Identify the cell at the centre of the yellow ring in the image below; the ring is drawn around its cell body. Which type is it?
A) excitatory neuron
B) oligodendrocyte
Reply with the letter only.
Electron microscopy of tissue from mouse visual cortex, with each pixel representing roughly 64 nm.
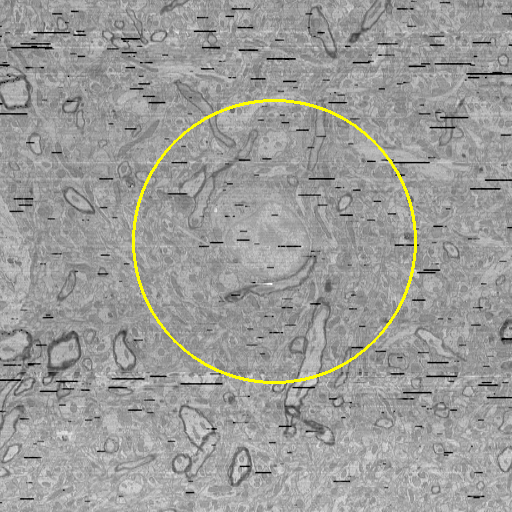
B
